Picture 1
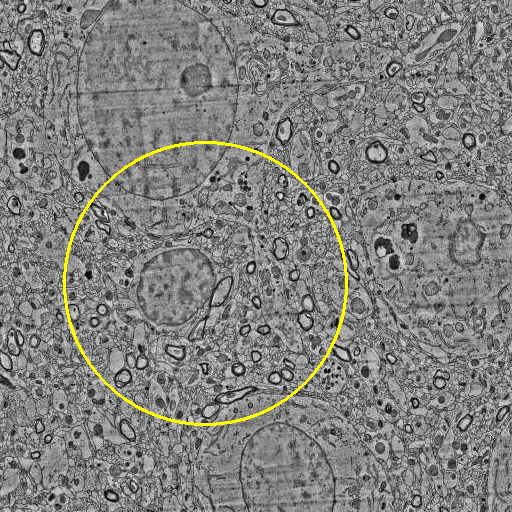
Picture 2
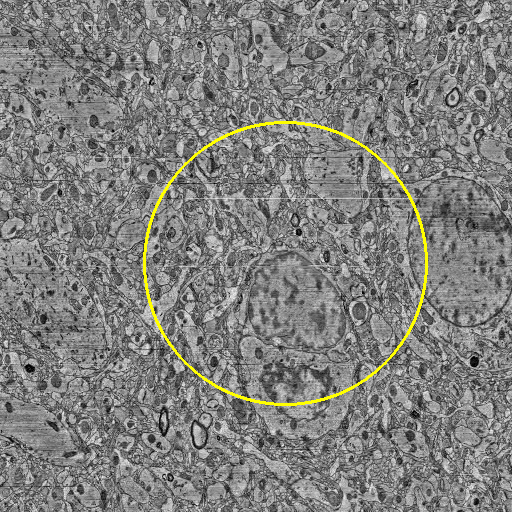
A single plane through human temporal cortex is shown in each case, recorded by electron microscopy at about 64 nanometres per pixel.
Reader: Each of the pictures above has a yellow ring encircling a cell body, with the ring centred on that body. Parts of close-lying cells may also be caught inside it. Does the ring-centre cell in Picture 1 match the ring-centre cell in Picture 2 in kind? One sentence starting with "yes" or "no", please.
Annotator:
Yes, Picture 1 and Picture 2 show ring-centre cells of a single kind.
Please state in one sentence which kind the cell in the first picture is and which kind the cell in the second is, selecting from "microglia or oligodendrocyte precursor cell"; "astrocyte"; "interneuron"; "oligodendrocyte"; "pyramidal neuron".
The cell in the first picture is an oligodendrocyte, and so is the one in the second.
